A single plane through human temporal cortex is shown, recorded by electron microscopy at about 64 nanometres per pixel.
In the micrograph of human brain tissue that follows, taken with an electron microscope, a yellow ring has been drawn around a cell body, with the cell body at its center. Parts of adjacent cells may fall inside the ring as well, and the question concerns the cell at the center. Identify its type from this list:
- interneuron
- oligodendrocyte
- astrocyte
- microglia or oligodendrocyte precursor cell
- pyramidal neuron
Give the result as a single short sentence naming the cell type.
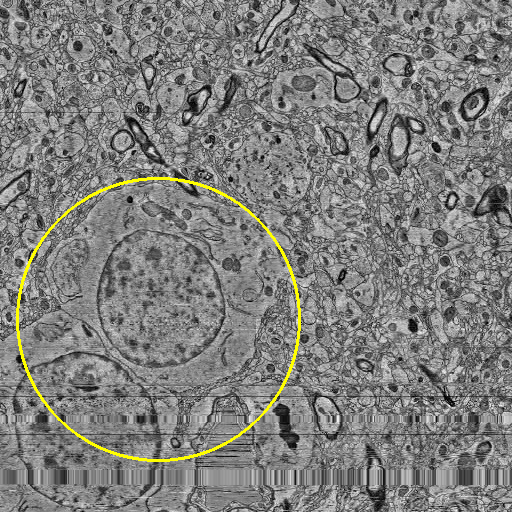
The ring is centered on an astrocyte.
